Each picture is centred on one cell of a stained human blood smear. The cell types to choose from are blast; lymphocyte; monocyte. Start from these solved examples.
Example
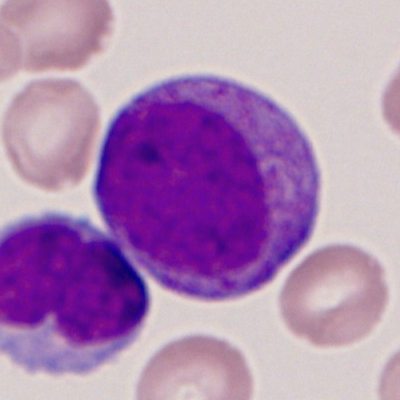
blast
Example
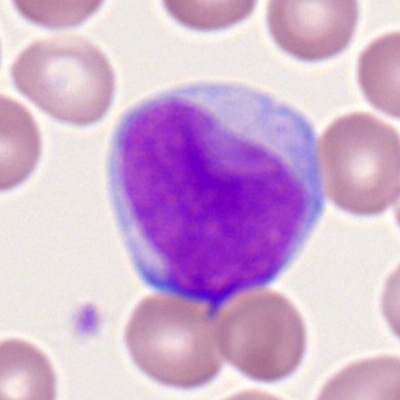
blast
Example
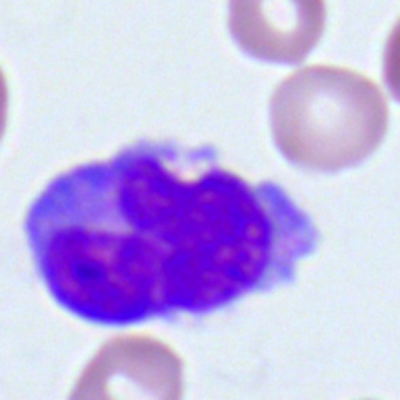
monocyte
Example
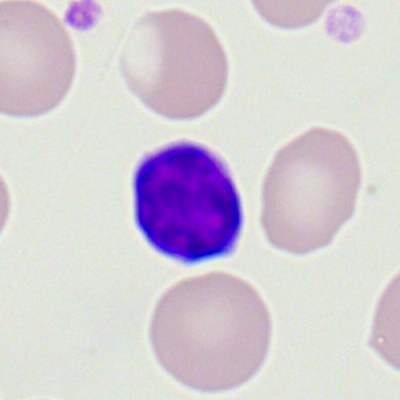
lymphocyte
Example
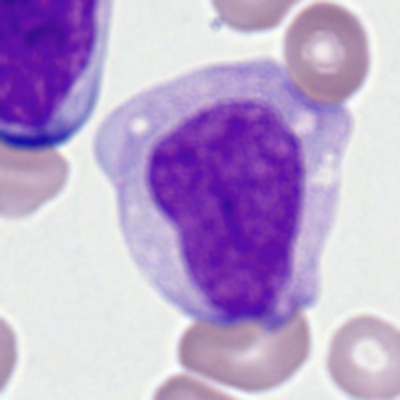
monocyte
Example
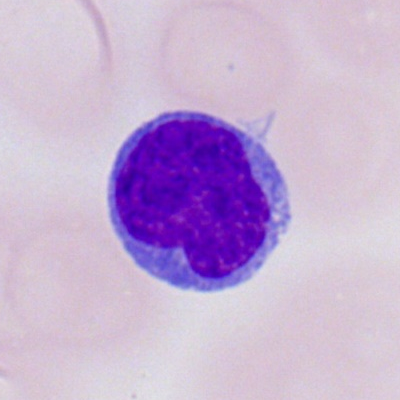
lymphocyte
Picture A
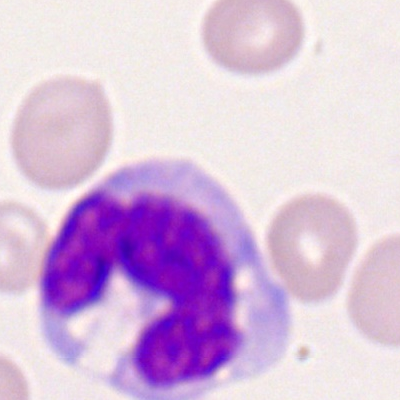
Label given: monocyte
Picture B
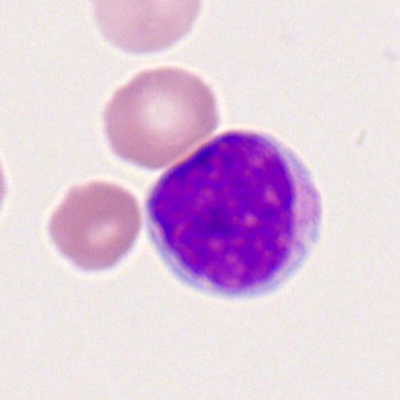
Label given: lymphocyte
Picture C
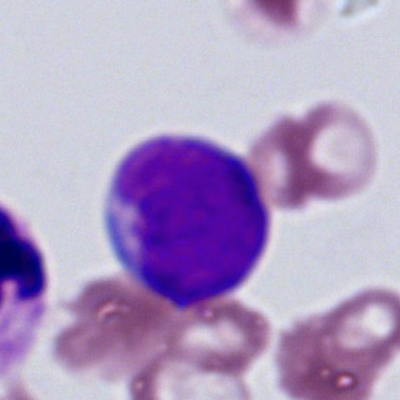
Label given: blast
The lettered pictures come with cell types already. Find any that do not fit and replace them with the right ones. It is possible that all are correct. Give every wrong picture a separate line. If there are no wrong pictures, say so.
All correct.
